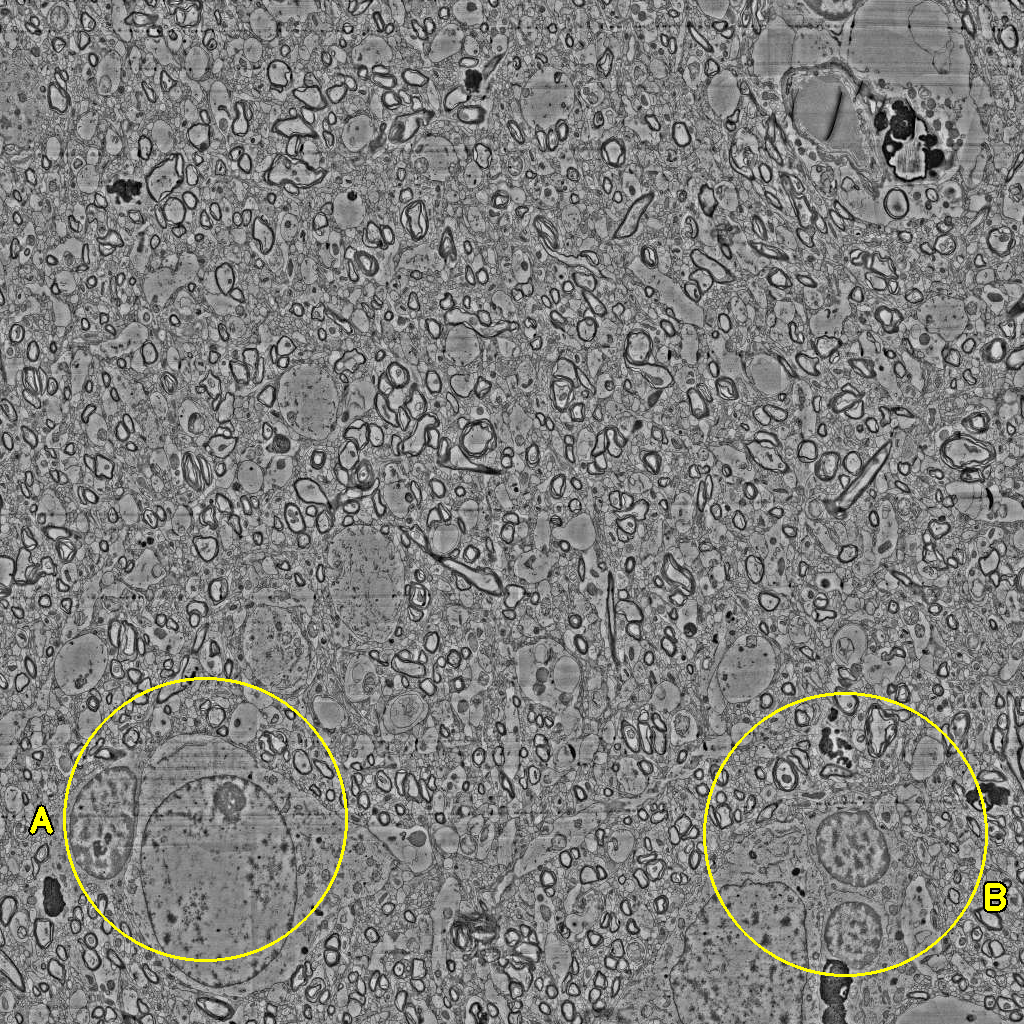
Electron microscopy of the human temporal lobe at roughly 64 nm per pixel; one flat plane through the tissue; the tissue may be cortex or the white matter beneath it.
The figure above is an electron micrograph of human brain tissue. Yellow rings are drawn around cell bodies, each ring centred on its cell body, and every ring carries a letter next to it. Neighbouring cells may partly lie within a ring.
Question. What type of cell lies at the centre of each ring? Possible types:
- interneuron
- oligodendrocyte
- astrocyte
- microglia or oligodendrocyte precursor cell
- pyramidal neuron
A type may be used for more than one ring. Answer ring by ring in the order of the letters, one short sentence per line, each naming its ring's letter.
In ring A, the central cell is a pyramidal neuron.
In ring B, the central cell is an oligodendrocyte.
